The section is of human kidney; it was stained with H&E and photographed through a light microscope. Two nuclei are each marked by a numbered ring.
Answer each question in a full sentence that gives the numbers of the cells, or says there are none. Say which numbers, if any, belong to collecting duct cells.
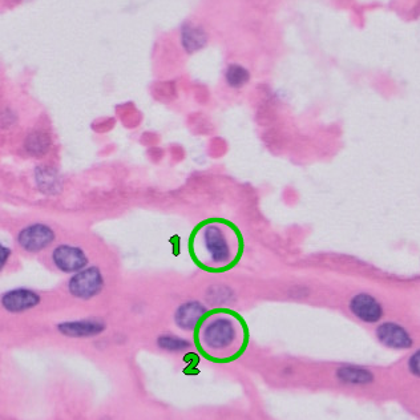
Of all the cells bearing numbers, cell 2 is the only one that is a collecting duct cell.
